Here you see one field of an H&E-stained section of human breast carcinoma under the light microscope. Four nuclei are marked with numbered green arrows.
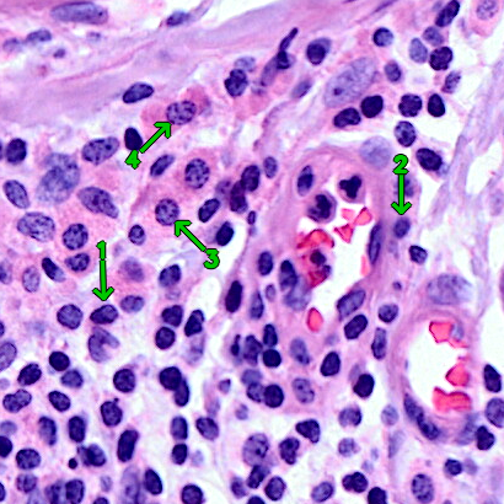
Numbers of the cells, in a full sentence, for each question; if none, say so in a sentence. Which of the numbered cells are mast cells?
Cells 3 and 4 share one type; they are mast cells.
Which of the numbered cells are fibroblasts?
Classed by type, none of the numbered cells are fibroblasts.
